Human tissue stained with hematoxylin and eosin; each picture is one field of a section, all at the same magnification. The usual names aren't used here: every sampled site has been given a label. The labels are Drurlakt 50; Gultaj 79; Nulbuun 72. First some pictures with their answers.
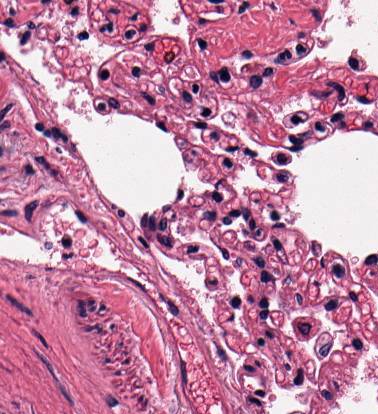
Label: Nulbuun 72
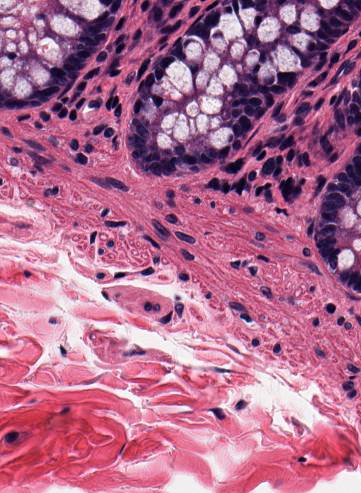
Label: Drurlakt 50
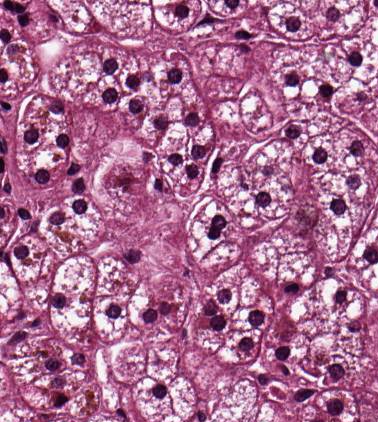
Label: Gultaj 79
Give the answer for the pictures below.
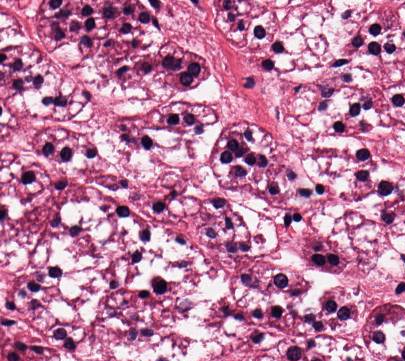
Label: Gultaj 79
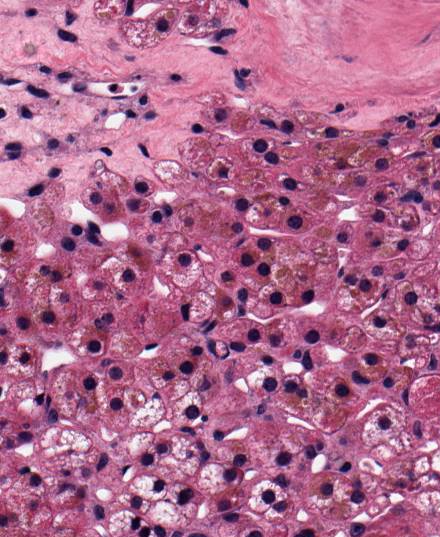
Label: Gultaj 79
